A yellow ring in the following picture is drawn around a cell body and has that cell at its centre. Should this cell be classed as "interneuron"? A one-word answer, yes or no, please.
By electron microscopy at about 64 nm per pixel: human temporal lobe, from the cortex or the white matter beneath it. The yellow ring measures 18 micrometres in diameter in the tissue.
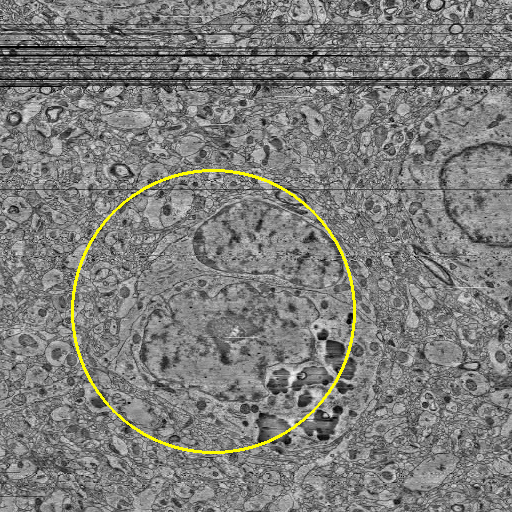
Yes, it is of that kind.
